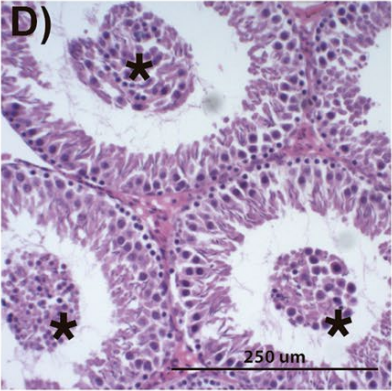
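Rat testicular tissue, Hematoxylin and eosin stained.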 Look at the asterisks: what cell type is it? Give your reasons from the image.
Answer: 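Each asterisk lies on a rounded clump of nucleated cells. The clumps sit free in the central lumen of tubules, separated from the epithelium by empty space.
Hence: immature cells.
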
